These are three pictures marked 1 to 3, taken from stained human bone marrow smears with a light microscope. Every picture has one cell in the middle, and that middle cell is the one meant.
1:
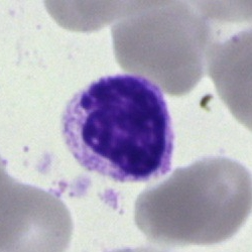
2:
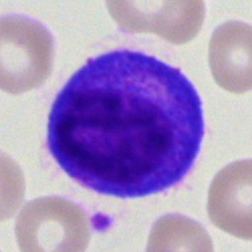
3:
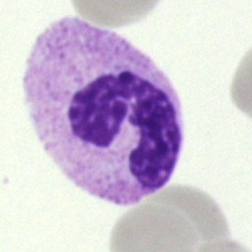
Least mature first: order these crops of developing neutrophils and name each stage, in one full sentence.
From least to most mature, the crops are ordered crop 2 (a promyelocyte), crop 1 (a band neutrophil) and crop 3 (a segmented neutrophil).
